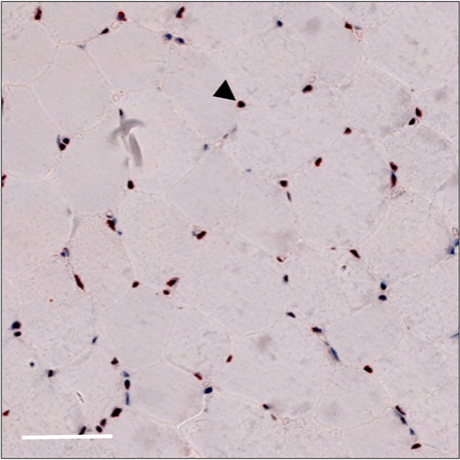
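This is a cross-section of skeletal muscle with fibres of fairly even size and polygonal, roughly hexagonal outlines. The fibres are pale, with thin borders between them.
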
